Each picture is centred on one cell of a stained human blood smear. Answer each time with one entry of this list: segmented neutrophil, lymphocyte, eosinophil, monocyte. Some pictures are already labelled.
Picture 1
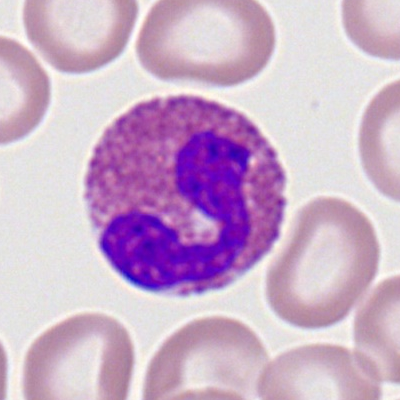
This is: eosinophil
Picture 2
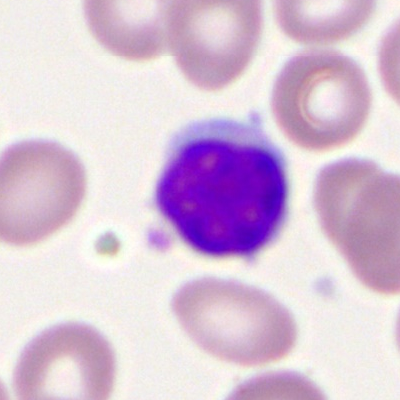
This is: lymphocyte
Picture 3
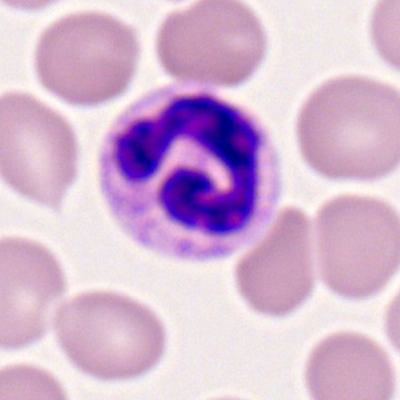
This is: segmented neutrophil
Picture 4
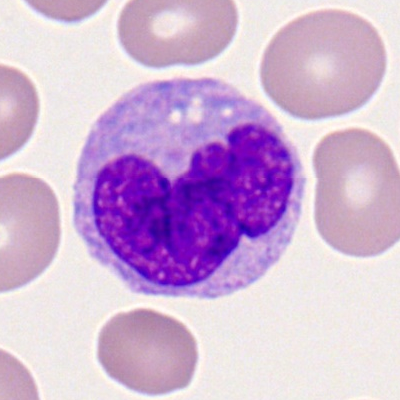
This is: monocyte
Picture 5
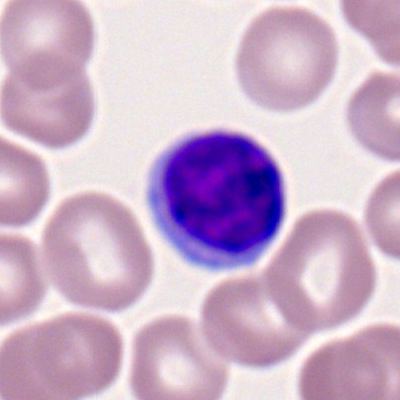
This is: lymphocyte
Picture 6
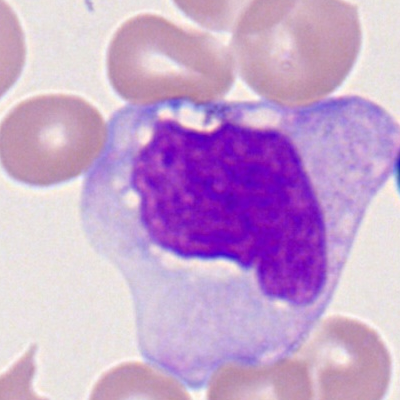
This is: monocyte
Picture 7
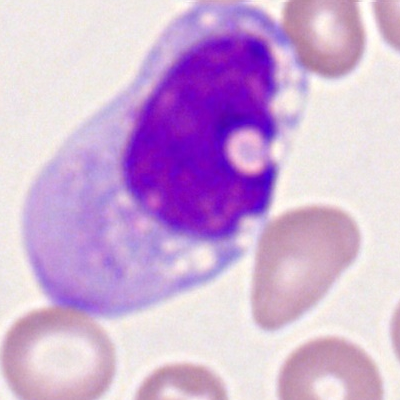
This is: monocyte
